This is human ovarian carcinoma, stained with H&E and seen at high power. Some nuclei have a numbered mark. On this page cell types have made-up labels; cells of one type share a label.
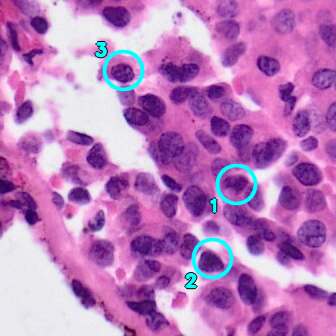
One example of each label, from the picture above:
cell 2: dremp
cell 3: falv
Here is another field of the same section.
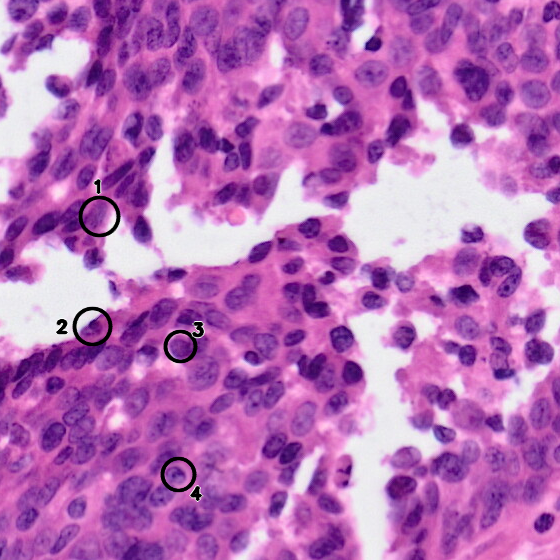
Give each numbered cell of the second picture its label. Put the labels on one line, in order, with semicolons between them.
dremp; dremp; dremp; falv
